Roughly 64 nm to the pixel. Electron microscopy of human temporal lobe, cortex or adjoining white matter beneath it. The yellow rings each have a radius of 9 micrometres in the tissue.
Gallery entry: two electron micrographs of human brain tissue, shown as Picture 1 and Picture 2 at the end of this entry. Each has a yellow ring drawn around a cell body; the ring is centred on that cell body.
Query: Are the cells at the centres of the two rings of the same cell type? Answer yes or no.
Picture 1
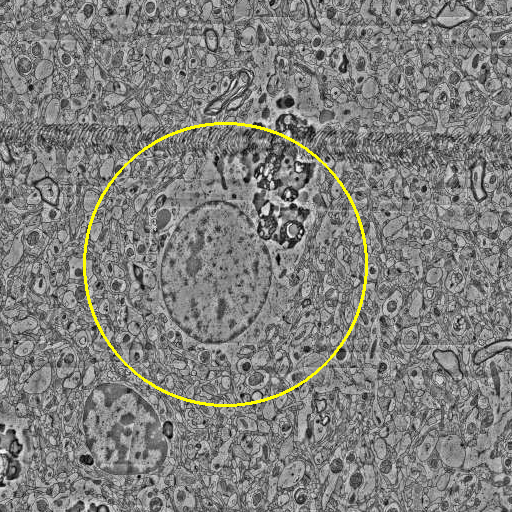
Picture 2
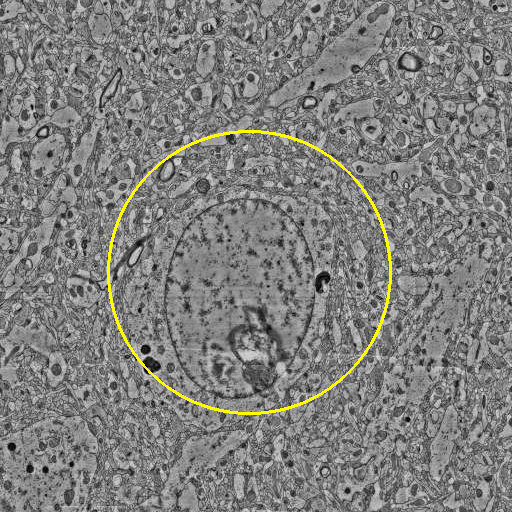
no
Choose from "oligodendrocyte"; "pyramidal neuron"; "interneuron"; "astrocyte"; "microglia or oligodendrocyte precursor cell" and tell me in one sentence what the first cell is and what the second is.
What the first ring is centred on is an astrocyte; what the second ring is centred on is a pyramidal neuron.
